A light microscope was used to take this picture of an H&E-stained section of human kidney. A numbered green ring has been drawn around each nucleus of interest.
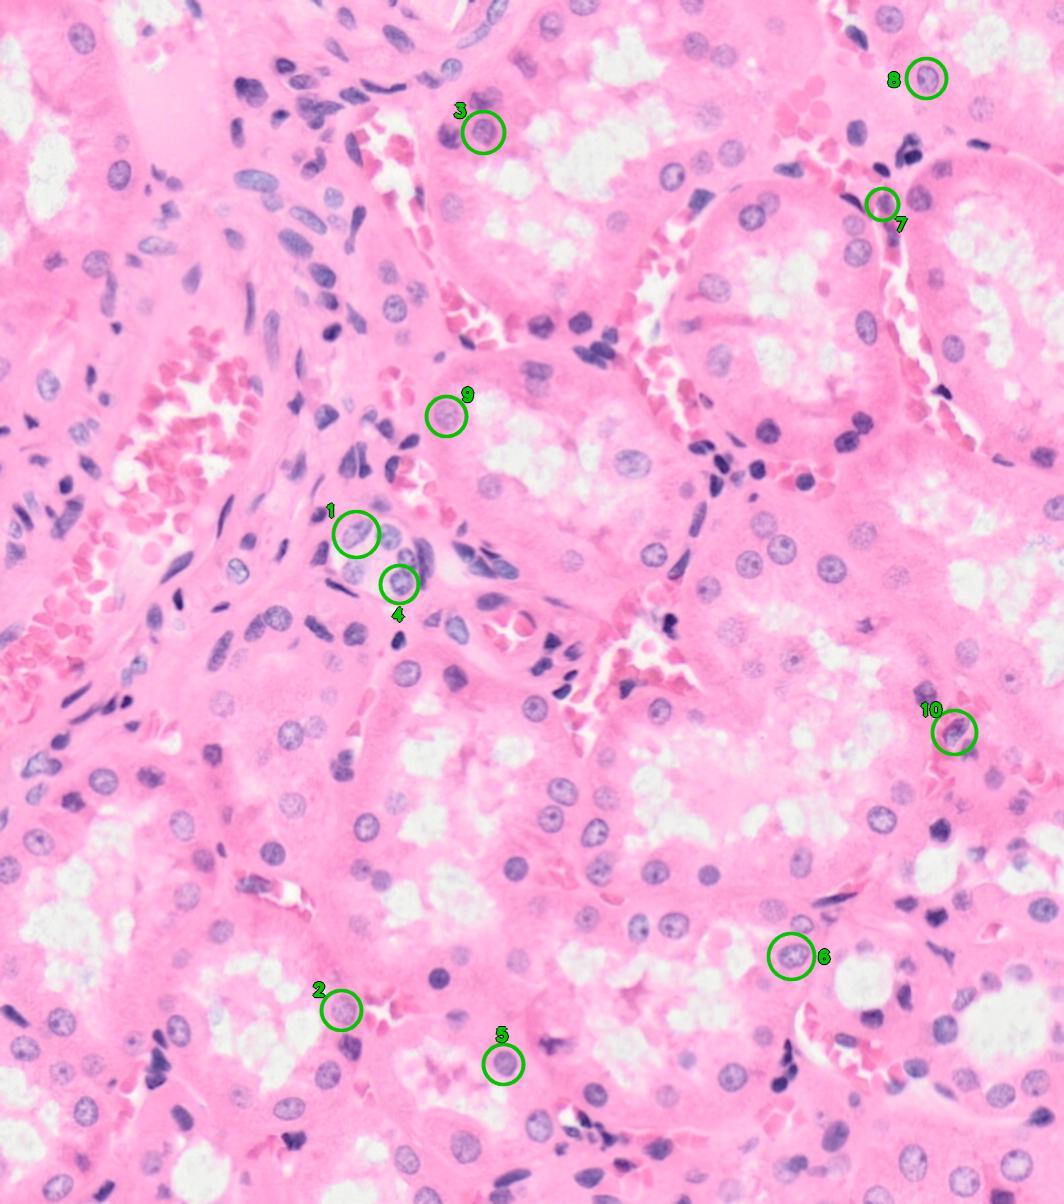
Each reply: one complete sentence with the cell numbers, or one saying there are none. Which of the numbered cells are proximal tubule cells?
The cells to which the numbers 2, 3, 5, 6, 8 and 9 refer are proximal tubule cells.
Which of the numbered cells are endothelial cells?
The cells marked with the numbers 7 and 10 are endothelial cells.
